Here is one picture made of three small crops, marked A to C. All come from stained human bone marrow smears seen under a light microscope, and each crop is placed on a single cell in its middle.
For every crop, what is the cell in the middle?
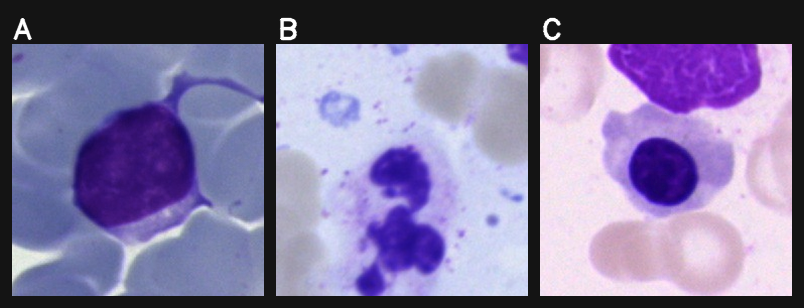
A: lymphocyte
B: segmented neutrophil
C: erythroblast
